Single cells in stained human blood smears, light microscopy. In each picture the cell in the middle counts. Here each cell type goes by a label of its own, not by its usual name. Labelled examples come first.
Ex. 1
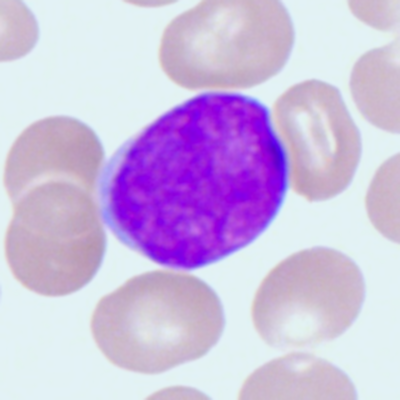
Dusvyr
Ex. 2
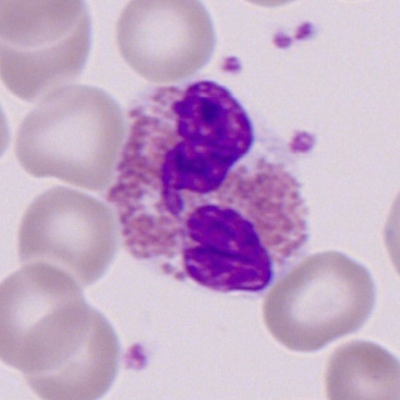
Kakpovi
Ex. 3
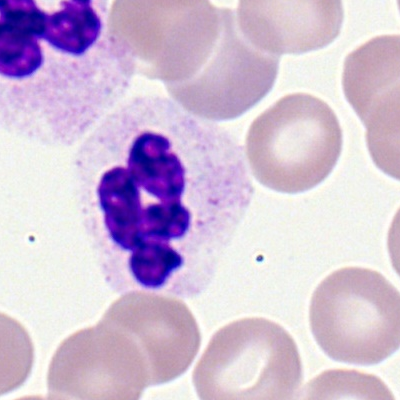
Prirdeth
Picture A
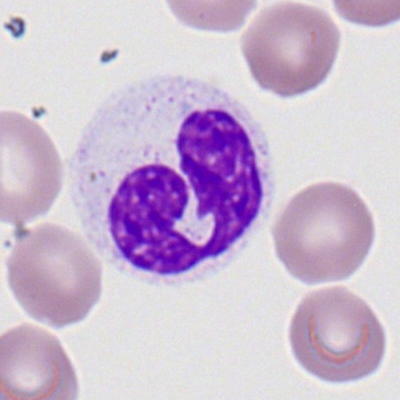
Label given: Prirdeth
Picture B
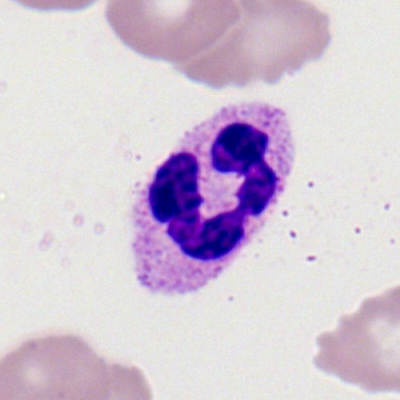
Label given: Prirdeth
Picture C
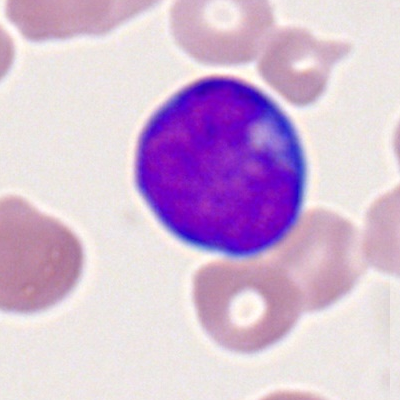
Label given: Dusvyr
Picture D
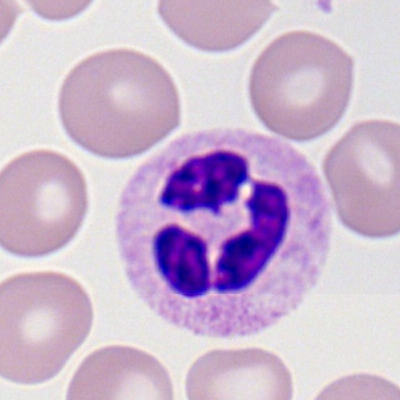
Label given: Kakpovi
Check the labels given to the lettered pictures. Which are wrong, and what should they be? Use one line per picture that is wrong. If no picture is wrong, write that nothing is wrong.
D is labelled Kakpovi; correct label: Prirdeth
